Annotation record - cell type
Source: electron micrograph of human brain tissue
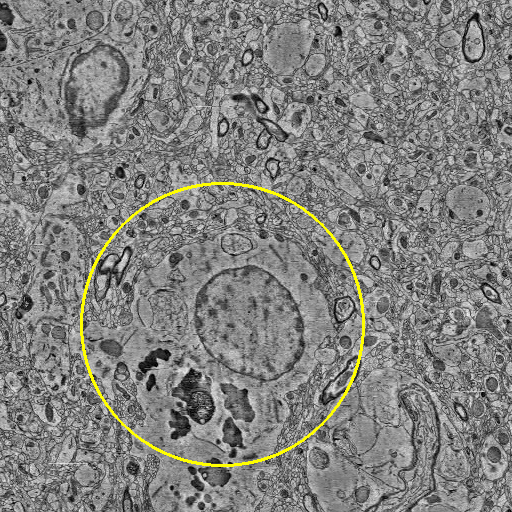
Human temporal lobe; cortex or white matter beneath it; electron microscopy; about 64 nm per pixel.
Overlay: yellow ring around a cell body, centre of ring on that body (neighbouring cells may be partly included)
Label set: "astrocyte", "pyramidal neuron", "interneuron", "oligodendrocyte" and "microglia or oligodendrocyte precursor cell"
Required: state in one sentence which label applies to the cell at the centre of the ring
This cell should be labelled as an astrocyte.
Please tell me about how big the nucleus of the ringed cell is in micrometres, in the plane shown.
In this plane the nucleus spans approximately 8 by 6 micrometers.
